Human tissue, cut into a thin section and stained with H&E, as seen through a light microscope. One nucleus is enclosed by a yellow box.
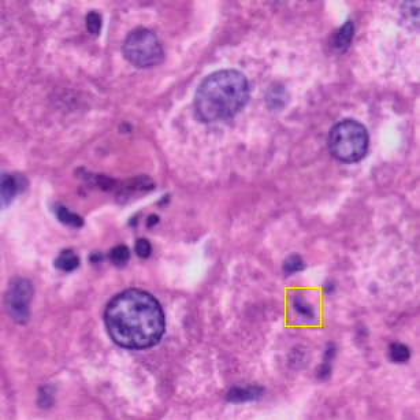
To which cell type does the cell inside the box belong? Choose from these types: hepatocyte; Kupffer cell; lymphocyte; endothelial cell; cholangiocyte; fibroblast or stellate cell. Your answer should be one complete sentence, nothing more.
In this tissue sample, the cell inside the box is an endothelial cell.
